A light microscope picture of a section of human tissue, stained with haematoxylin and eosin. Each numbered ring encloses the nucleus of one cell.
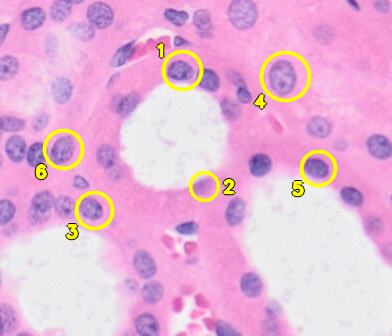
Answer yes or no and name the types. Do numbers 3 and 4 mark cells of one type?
No, unlike cell 4, which is a proximal tubule cell, cell 3 is a collecting duct cell.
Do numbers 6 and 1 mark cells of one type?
No, cell 1 is a loop of Henle or distal tubule cell, whereas cell 6 is a collecting duct cell.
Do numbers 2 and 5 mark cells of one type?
Yes, that is correct, cells 2 and 5 are both loop of Henle or distal tubule cells.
